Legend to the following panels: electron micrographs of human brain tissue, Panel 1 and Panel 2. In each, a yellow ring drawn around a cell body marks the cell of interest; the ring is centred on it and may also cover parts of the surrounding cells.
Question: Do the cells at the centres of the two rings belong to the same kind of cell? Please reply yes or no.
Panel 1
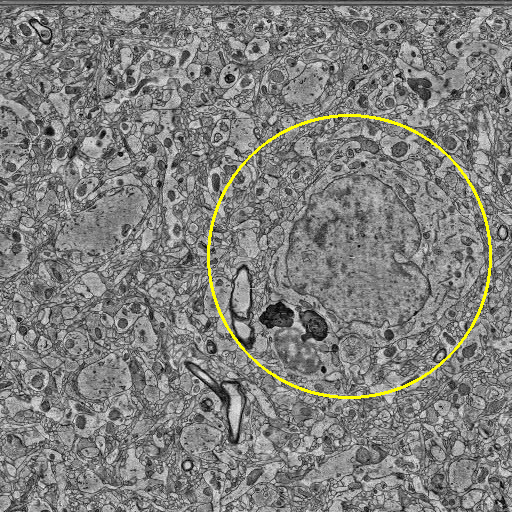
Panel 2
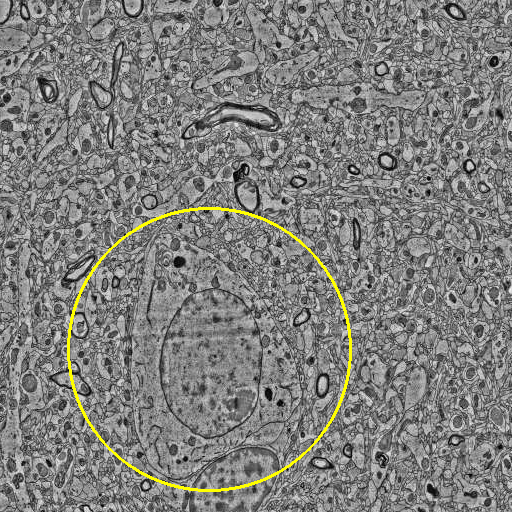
no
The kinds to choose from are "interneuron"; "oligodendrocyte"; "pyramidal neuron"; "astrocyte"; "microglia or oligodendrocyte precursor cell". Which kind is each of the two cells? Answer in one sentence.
Of the two, the first cell is an interneuron and the second cell is a pyramidal neuron.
